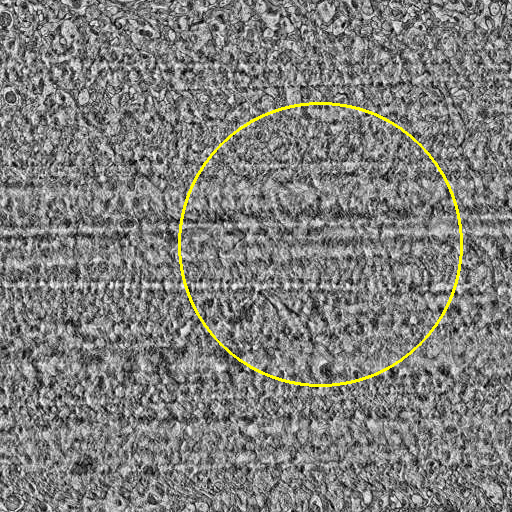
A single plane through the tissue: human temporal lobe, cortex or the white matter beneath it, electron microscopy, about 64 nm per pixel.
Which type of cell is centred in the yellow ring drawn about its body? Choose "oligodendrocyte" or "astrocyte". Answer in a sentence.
The yellow ring surrounds the cell body of an oligodendrocyte.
